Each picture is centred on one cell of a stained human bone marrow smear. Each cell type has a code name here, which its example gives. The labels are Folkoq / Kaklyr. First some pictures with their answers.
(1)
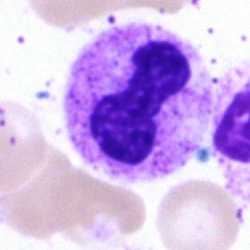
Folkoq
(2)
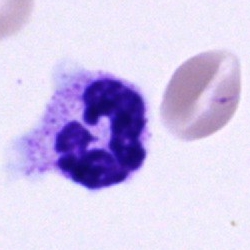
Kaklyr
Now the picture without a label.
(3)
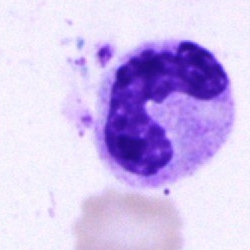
Folkoq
